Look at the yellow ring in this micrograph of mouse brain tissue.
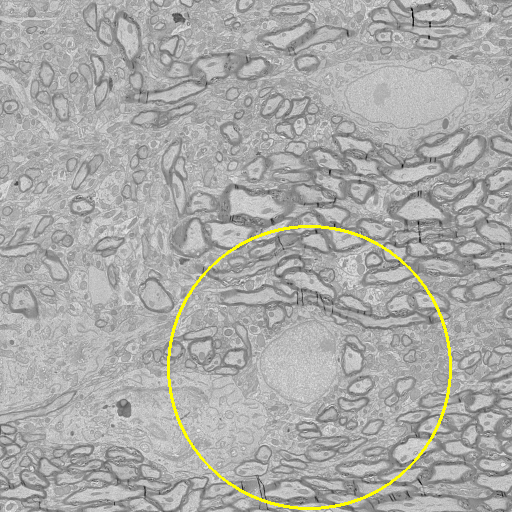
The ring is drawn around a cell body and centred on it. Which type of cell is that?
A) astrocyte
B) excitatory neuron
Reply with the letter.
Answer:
A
